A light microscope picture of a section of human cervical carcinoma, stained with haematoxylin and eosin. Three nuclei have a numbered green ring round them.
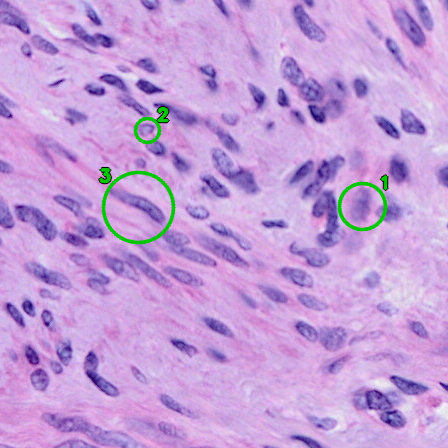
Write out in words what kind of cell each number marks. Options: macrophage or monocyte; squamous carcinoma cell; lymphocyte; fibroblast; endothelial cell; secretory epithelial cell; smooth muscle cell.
Cell 1 is an endothelial cell. Cells 2 and 3 are smooth muscle cells.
